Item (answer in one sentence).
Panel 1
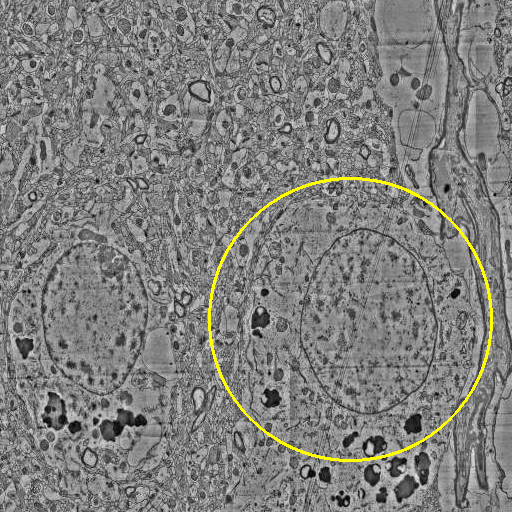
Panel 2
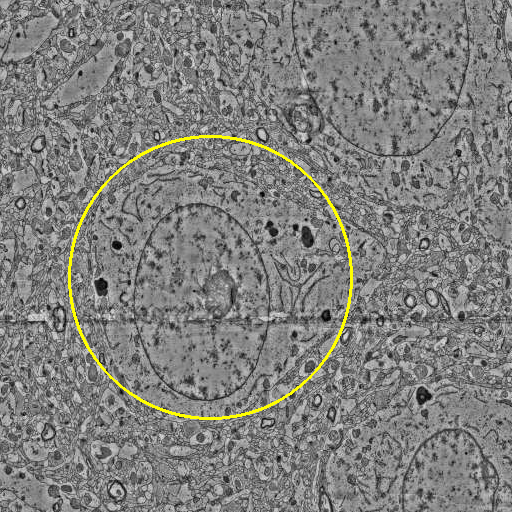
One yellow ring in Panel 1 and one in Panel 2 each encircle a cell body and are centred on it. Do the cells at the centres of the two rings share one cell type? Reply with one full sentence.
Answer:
Yes, Panel 1 and Panel 2 show cells of one type at the centres of their rings.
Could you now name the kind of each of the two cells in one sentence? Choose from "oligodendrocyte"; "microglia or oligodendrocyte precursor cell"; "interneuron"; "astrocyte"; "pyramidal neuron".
The ring centre holds a pyramidal neuron in each of the two pictures.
